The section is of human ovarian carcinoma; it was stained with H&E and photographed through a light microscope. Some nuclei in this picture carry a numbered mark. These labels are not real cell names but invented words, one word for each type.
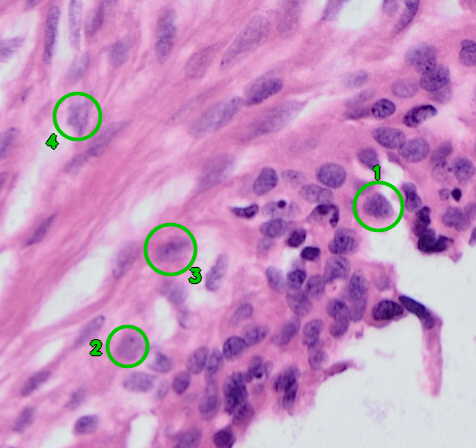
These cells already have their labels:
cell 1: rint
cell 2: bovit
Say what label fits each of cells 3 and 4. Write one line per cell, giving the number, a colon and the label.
3: bovit
4: bovit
